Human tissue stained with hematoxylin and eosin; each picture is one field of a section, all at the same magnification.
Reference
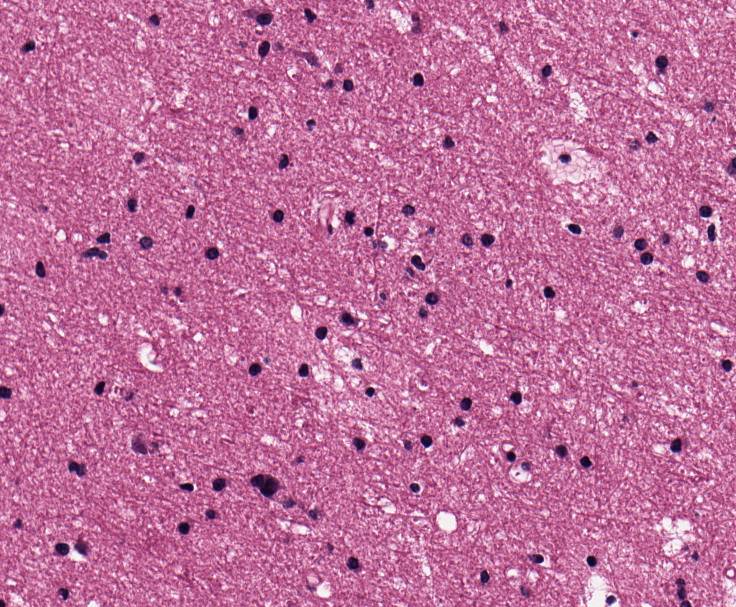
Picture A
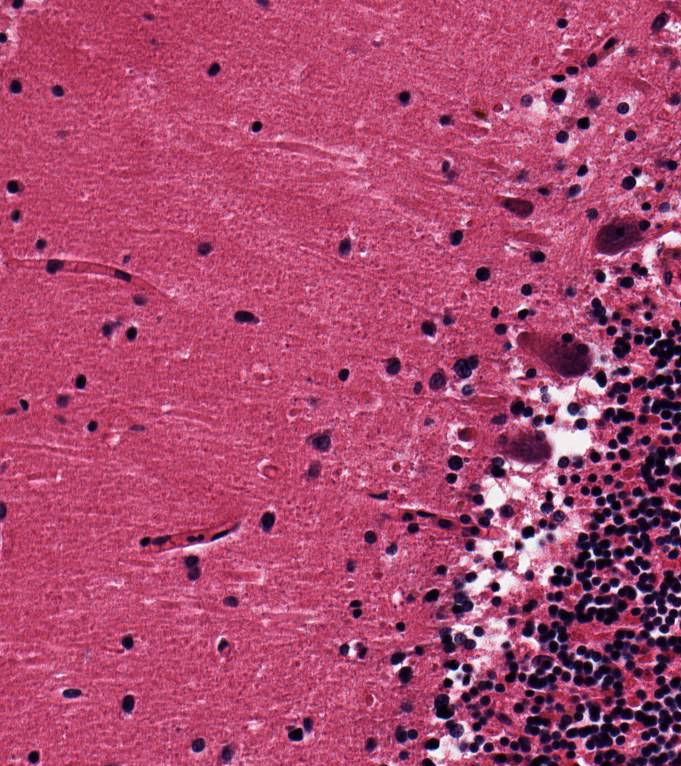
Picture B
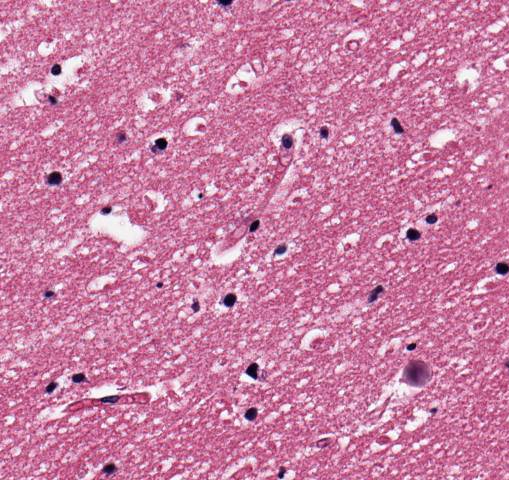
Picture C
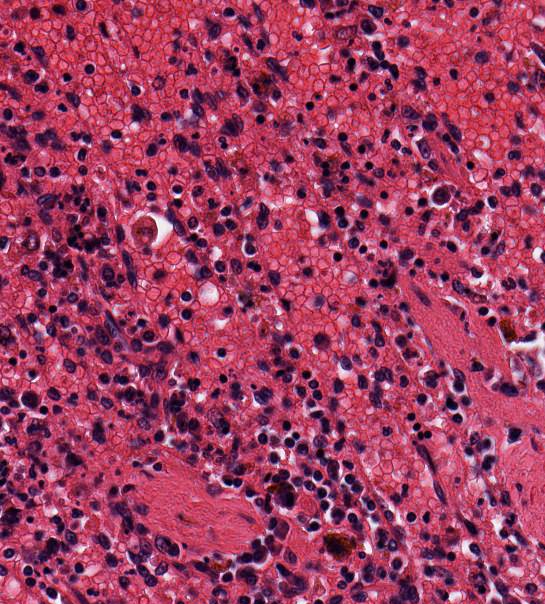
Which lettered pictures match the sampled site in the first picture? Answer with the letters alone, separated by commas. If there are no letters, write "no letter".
no letter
